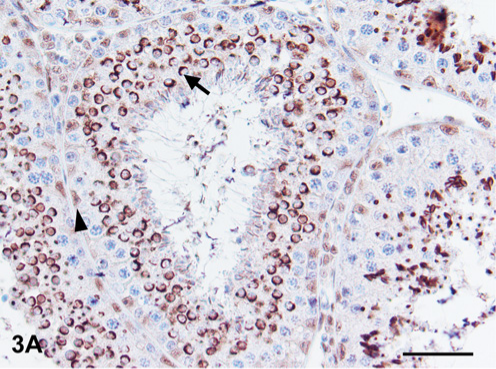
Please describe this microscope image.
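This shows seminiferous tubules of the testis, with germ cells stacked in layers from the tubule wall toward a central lumen. Many round cells in the inner layers carry a sharp dark brown crescent or cap over one side of their blue nucleus, which are the acrosomes. Along the base of the tubule lie cells with pale nuclei that take a faint light brown tint, the Sertoli cells. The lumen holds pale threads of sperm tails.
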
